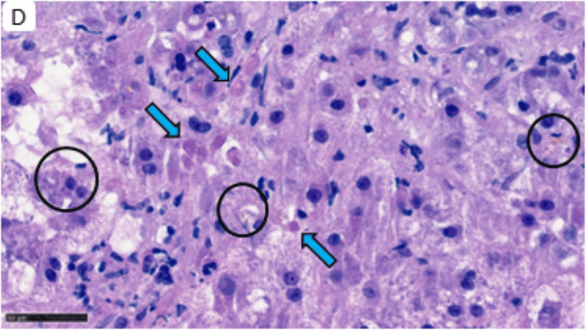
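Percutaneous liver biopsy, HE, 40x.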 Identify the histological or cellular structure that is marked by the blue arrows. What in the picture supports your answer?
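Acidophilic bodies. The arrowed bodies are small, rounded and deeply eosinophilic. They are smaller than the surrounding hepatocytes.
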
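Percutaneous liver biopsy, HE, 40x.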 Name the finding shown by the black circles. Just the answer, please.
Hepatocanalicular cholestasis.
